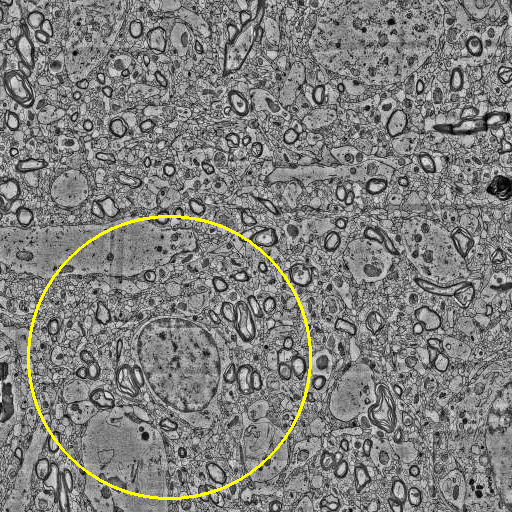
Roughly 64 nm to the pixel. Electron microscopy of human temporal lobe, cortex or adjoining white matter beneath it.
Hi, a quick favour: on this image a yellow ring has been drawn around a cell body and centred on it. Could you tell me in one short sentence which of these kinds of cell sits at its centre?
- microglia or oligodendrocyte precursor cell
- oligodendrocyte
The ring is centred on a microglial cell or oligodendrocyte precursor cell.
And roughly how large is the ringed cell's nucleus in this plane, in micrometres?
In this plane the nucleus measures roughly 6 by 5 micrometres.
